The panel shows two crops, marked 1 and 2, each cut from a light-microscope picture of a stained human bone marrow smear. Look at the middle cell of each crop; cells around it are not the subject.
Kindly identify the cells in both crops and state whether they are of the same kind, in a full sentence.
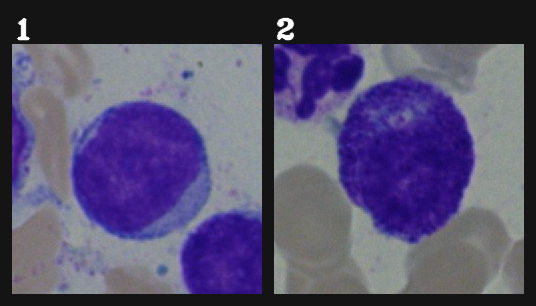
No, crop 1 shows a blast, whereas a myelocyte is what crop 2 shows.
